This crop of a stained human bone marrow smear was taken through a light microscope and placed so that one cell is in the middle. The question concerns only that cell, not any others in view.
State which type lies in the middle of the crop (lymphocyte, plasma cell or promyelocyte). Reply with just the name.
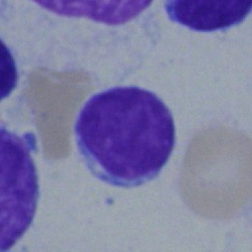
lymphocyte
